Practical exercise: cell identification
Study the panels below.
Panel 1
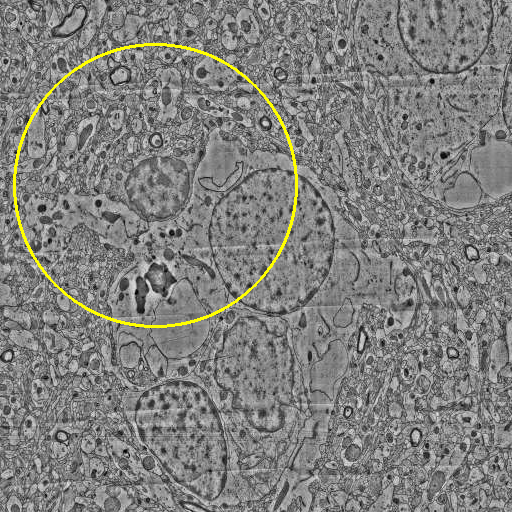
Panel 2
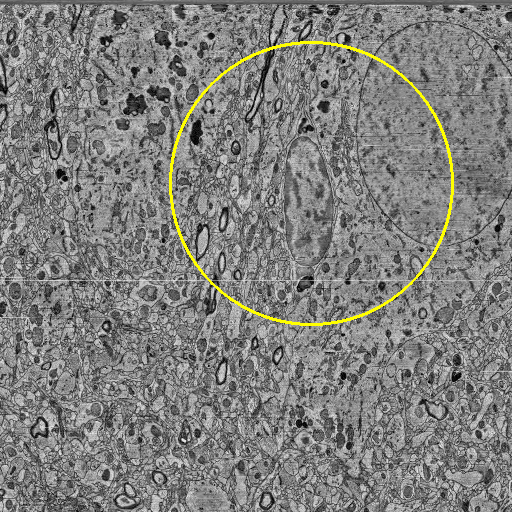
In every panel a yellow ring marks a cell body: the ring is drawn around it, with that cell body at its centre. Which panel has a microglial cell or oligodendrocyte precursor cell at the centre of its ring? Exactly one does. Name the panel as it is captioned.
Panel 2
